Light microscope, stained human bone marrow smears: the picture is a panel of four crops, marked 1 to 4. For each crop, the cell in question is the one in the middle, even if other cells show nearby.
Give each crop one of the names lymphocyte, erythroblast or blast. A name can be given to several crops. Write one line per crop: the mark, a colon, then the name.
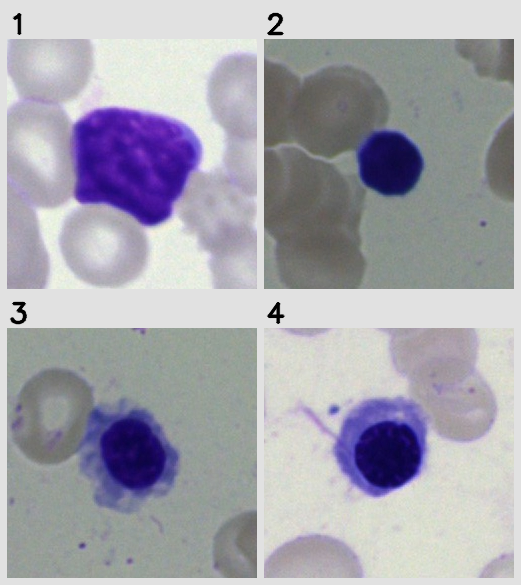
1: blast
2: lymphocyte
3: erythroblast
4: erythroblast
